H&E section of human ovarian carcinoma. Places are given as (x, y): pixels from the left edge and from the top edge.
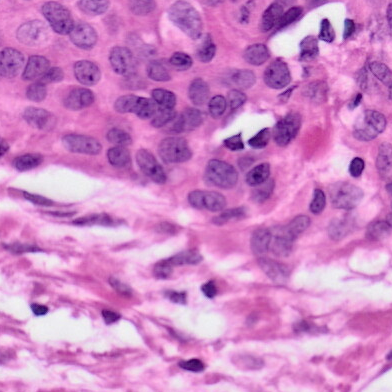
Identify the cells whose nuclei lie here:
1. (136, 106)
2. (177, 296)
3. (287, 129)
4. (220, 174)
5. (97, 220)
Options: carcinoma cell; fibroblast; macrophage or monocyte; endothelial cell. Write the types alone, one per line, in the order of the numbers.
carcinoma cell
fibroblast
carcinoma cell
carcinoma cell
fibroblast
